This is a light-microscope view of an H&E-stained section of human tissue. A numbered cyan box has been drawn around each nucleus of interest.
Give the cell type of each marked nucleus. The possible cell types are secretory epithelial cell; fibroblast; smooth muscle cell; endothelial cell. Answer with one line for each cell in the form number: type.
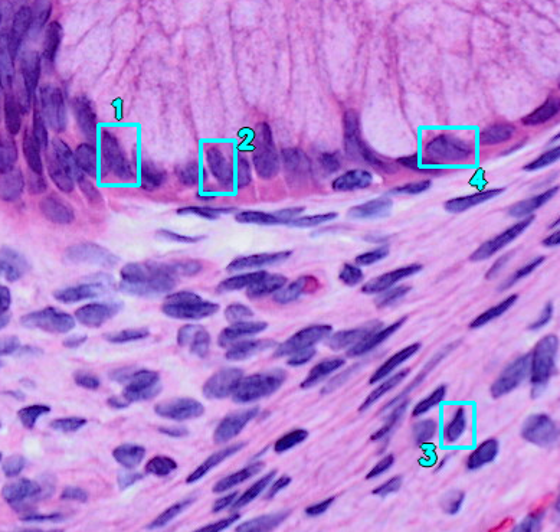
1: secretory epithelial cell
2: secretory epithelial cell
3: fibroblast
4: secretory epithelial cell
